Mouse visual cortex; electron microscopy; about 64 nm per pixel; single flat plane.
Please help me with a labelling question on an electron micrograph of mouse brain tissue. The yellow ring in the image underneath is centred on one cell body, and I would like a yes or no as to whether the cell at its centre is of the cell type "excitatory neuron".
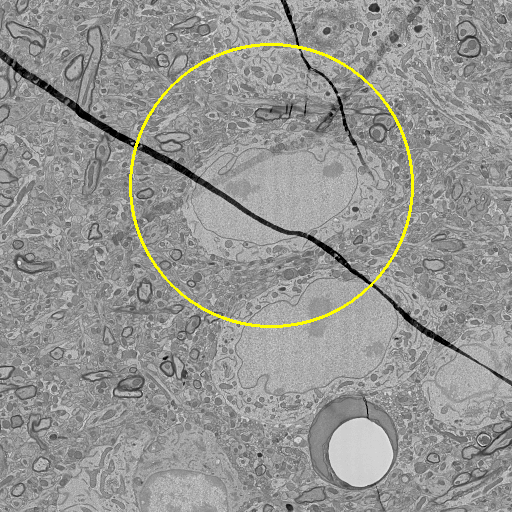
yes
